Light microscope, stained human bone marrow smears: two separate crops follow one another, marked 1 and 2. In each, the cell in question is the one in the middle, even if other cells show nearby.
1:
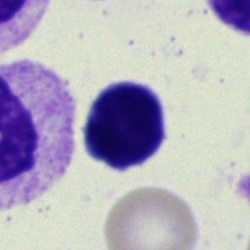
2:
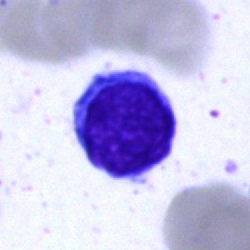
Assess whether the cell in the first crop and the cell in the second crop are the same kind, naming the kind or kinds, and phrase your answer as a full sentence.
Yes, the middle cells in both crops are indeed lymphocytes.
